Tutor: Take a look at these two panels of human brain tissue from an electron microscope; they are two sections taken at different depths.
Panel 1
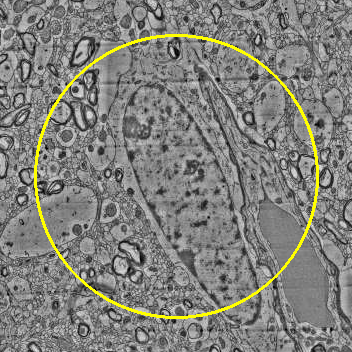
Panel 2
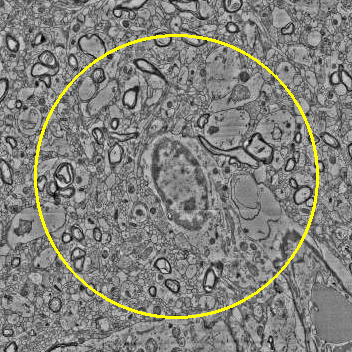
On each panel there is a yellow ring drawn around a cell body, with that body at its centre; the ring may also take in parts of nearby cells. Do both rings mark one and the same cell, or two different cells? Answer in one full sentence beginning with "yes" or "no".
Yes, the same cell appears within both yellow rings.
